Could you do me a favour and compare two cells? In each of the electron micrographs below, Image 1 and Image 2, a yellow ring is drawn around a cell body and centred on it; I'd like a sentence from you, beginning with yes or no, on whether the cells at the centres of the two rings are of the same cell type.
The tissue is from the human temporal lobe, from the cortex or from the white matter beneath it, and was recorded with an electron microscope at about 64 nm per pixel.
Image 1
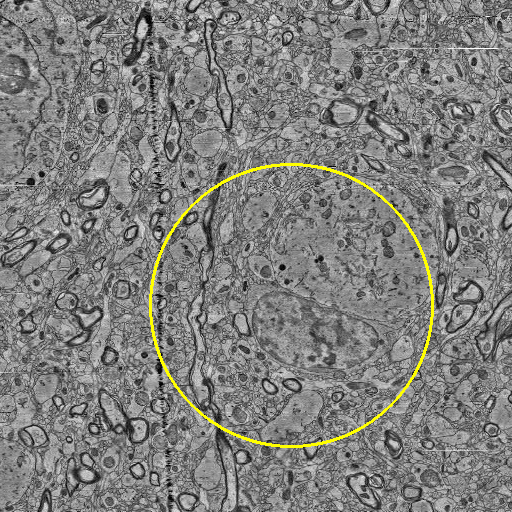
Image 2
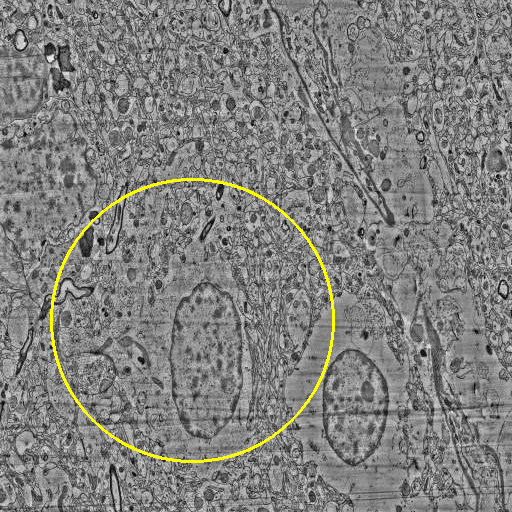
No, the two cells are of two cell types.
